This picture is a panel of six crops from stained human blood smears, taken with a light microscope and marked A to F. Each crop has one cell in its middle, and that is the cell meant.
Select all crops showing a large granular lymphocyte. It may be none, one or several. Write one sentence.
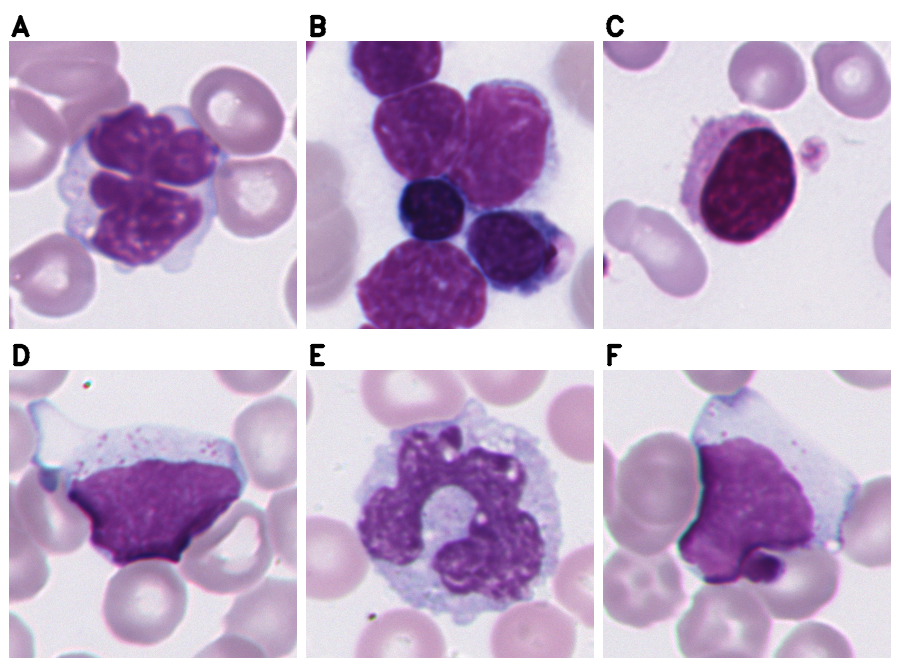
Within this set, crops A, C, D and F show large granular lymphocytes.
